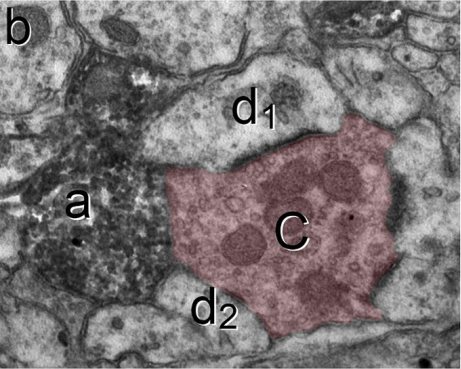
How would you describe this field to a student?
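A large pink-shaded profile with a scalloped outline sits in the middle, holding several round mitochondria and scattered small vesicles. To its left lies a dark, densely labelled profile packed with vesicles, and above and below it lie pale profiles with little content. The pink profile is the central terminal of a synaptic glomerulus, the dark profile is a labelled axonal bouton, and the pale profiles are dendrites. The close grouping of these elements around the central terminal is the arrangement of a synaptic glomerulus, in which the labelled axon and the central terminal both contact the same dendrites.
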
